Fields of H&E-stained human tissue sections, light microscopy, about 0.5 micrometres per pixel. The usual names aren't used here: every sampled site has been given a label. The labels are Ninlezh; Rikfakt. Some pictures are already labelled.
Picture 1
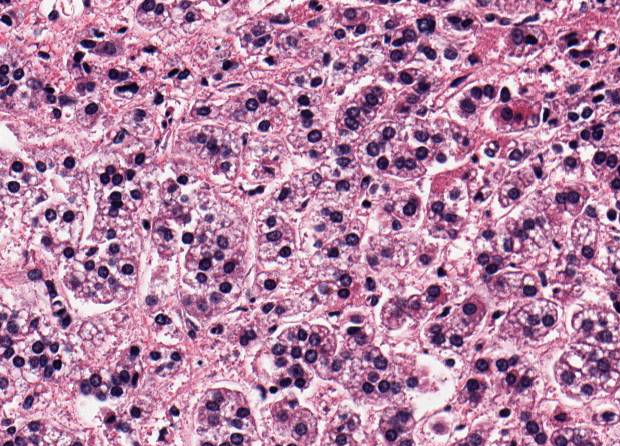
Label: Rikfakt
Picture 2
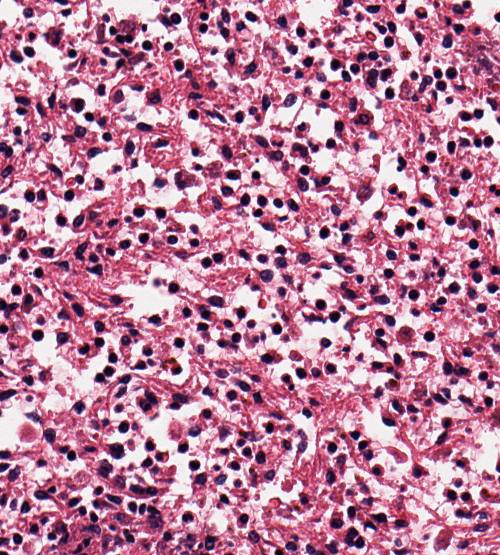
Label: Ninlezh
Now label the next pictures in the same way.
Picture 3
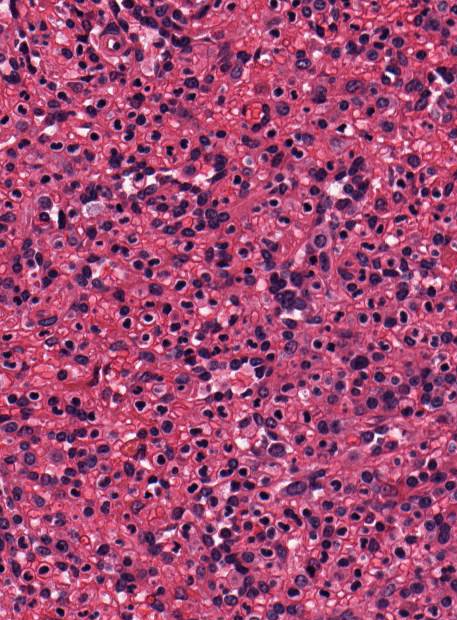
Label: Ninlezh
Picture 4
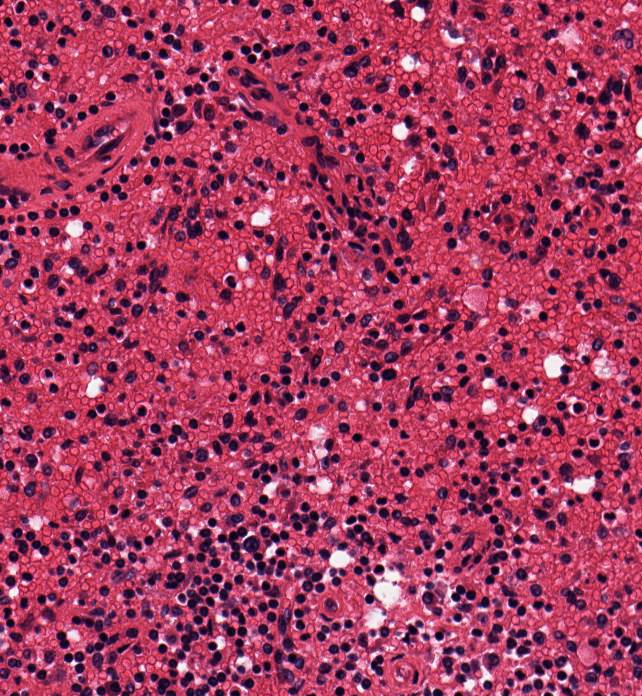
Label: Ninlezh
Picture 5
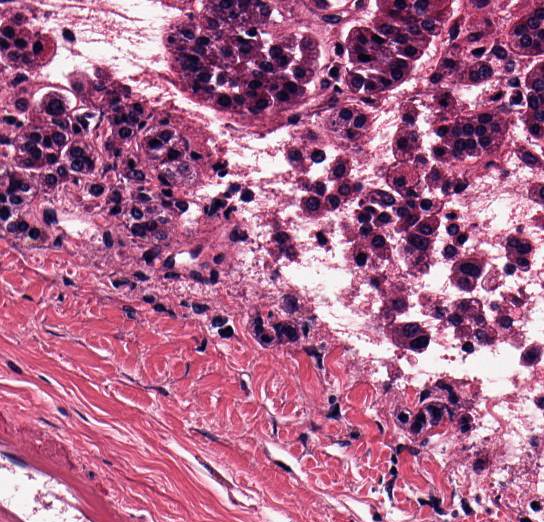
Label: Rikfakt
